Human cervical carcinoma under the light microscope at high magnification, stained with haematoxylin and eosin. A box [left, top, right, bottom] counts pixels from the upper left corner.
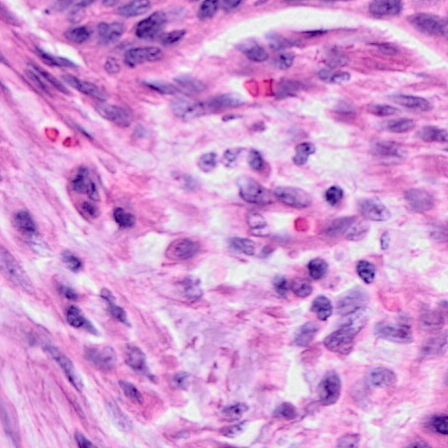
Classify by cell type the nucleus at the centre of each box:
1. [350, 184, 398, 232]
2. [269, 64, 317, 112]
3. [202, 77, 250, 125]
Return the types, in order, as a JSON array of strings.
["fibroblast", "endothelial cell", "endothelial cell"]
